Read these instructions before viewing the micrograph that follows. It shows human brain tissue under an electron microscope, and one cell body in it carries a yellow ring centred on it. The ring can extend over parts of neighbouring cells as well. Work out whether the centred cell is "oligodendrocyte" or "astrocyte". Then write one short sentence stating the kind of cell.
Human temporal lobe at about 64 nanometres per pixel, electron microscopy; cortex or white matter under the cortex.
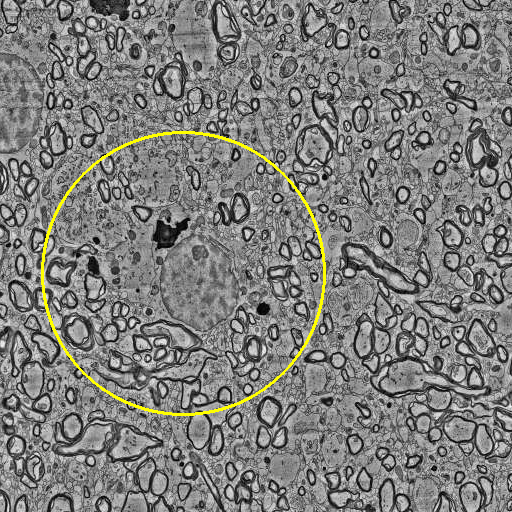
The ringed cell is an oligodendrocyte.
